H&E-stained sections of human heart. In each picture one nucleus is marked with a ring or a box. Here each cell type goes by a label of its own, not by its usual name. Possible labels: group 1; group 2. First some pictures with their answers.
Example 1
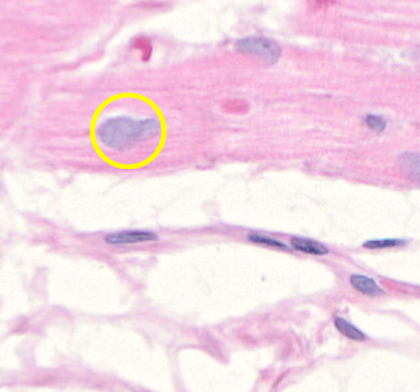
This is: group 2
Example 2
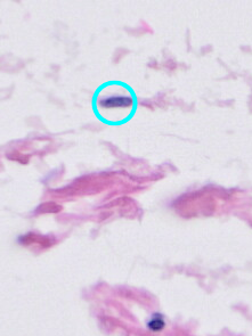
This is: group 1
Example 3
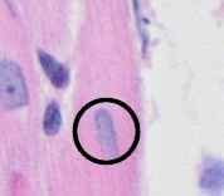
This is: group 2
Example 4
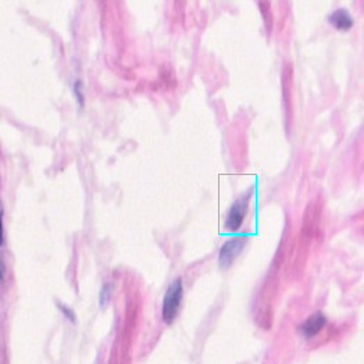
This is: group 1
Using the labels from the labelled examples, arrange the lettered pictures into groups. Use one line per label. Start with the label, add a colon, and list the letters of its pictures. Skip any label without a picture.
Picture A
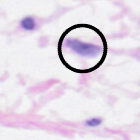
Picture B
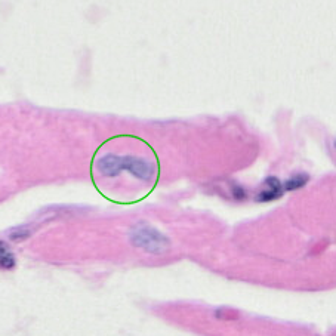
group 1: A
group 2: B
